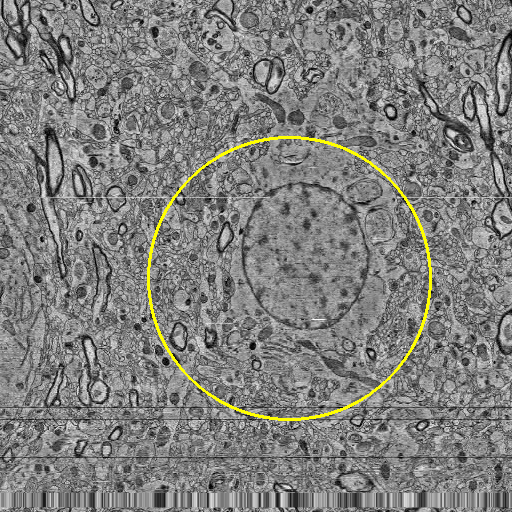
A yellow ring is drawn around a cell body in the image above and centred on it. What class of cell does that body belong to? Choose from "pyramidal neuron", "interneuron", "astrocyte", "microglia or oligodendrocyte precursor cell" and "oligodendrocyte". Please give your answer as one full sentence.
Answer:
The yellow ring above is centred on the cell body of an astrocyte.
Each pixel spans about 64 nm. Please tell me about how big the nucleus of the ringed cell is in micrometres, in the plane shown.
About 10 micrometres by about 8 micrometres in this plane.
